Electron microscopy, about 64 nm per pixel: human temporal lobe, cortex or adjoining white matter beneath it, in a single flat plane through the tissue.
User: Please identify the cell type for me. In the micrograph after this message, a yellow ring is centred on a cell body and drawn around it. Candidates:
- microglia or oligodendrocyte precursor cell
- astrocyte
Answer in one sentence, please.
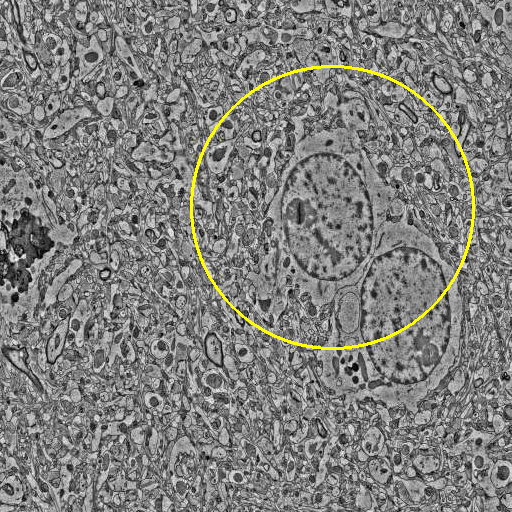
The ring is drawn around the cell body of an astrocyte.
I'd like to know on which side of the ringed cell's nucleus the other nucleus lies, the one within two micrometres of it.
That second nucleus is to the lower right of it.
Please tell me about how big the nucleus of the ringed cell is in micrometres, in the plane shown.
About 8 micrometres by about 6 micrometres in this plane.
